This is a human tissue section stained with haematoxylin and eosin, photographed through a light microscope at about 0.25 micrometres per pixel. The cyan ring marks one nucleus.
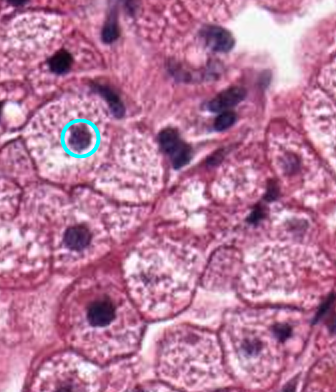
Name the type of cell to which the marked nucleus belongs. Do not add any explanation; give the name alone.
adrenal cortical cell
